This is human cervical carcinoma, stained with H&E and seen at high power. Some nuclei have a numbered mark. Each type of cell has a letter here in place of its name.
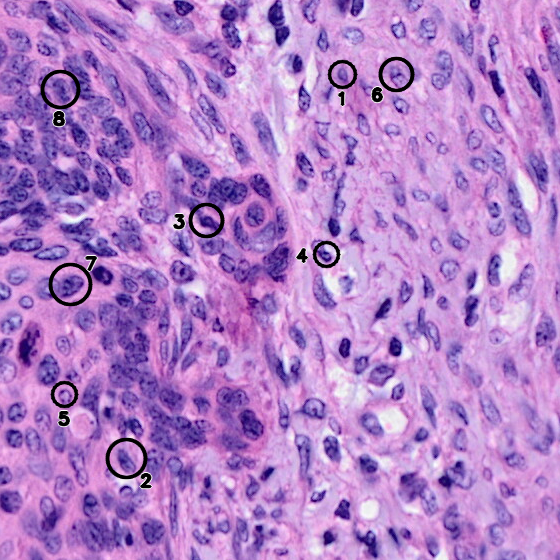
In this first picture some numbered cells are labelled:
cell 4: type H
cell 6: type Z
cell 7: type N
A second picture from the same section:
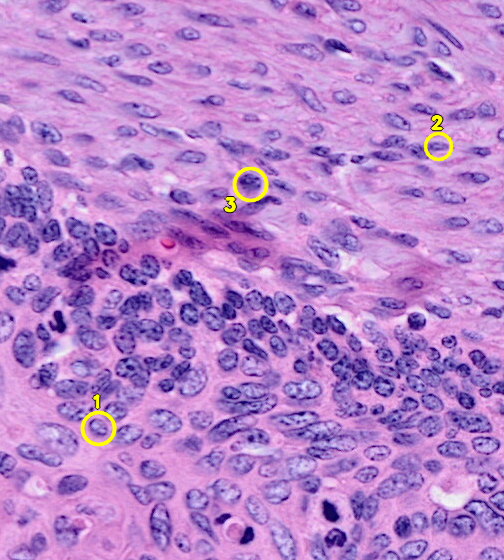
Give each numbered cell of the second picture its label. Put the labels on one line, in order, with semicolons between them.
type N; type Z; type H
